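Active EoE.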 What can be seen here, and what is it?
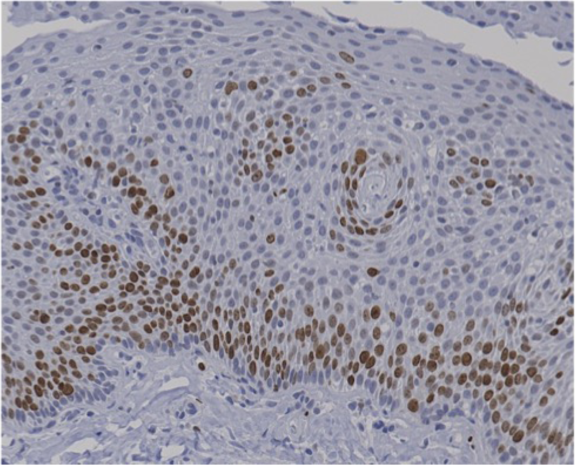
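Stratified squamous epithelium of the esophagus with many brown-stained nuclei. The lower half of the epithelium is thickened and crowded with small cells whose round to oval nuclei are mostly stained dark brown, in bands and clusters that extend well above the bottom layer. Higher up, cells are larger with more pale cytoplasm and blue nuclei, and toward the surface they flatten. A whorl of concentric cells is visible in the upper right region. Beneath the epithelium lies a thin strip of loose pale stroma. Cytoplasm throughout is pale blue-grey without brown stain.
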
